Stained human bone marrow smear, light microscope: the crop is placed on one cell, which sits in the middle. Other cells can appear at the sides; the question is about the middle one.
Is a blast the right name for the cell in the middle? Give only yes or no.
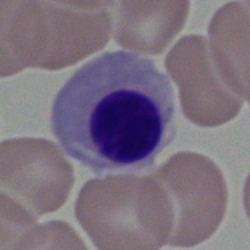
no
